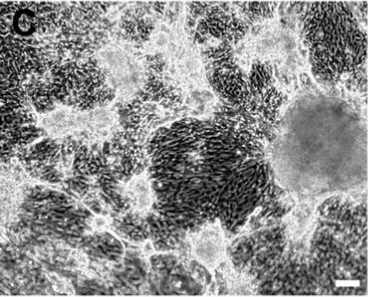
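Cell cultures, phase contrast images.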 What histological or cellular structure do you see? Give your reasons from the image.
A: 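Foci. Dense, piled-up rounded clusters of cells rise above the surrounding monolayer. Between the clusters lie sheets of tightly packed spindle-shaped cells.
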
